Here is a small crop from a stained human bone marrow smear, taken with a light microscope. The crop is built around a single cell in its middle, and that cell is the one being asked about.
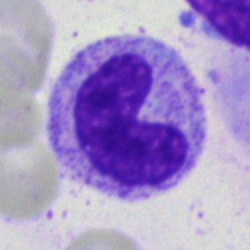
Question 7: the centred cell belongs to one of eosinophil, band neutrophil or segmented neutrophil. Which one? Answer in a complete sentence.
The cell centred in this crop is categorized as a band neutrophil.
